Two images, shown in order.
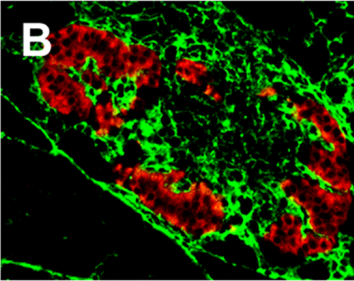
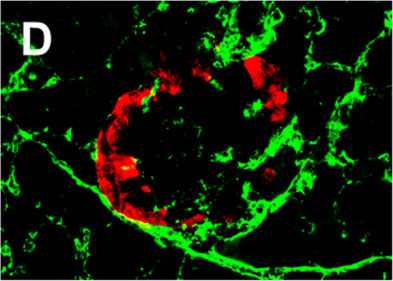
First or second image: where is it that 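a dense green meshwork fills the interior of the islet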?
the first image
